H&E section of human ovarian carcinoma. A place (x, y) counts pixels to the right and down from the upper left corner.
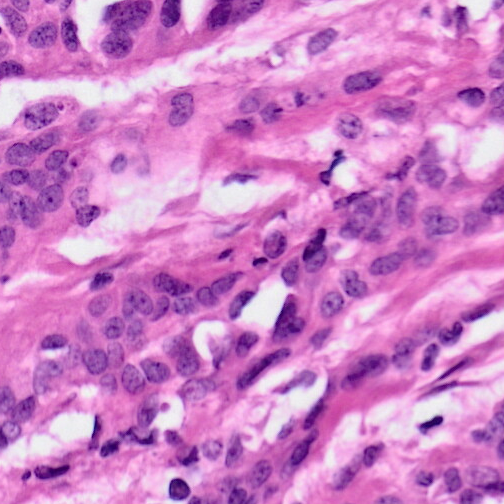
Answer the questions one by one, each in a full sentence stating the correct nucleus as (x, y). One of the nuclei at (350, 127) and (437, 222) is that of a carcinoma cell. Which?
The nucleus at position (437, 222) belongs to a carcinoma cell.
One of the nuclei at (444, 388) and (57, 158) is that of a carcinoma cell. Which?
The nucleus of a carcinoma cell lies at (57, 158), not at the other position.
